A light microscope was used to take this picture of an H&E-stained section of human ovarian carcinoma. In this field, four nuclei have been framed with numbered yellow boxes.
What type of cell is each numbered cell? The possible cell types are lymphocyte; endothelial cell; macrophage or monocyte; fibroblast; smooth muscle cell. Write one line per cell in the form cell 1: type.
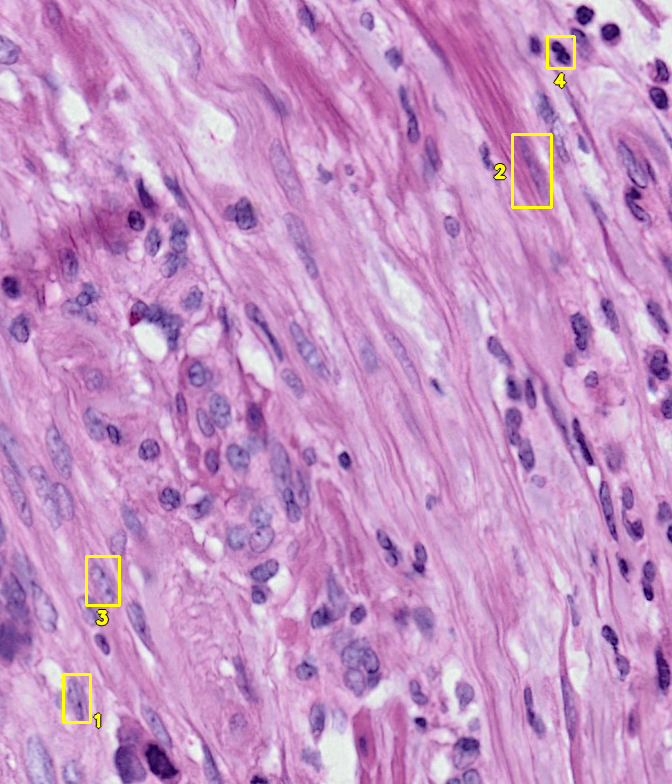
cell 1: fibroblast
cell 2: smooth muscle cell
cell 3: fibroblast
cell 4: lymphocyte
